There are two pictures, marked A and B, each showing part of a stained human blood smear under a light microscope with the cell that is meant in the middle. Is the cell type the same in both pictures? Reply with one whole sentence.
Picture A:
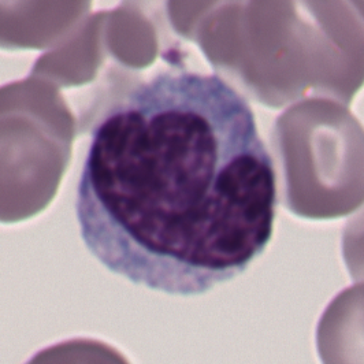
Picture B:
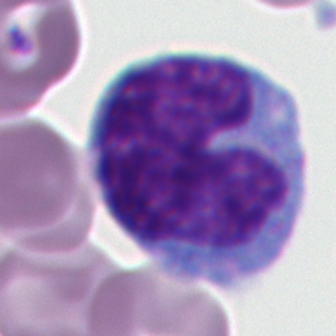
Yes, they are the same type: both are monocytes.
